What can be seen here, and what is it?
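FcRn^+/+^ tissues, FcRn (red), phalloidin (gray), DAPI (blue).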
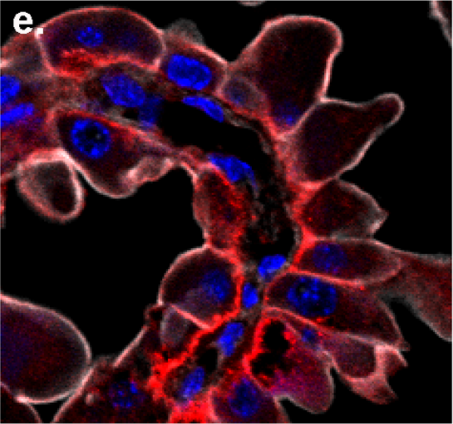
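Yolk sac endoderm cells forming a layer of rounded, bulbous cells that project outward from a thin central core. Gray lines outline the rounded free surfaces and the borders between neighbouring cells. The red label is strongest along the inner ends and side borders of the cells, close to the central core, and weaker toward the domed outer surfaces. The layer curves around an empty central space.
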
